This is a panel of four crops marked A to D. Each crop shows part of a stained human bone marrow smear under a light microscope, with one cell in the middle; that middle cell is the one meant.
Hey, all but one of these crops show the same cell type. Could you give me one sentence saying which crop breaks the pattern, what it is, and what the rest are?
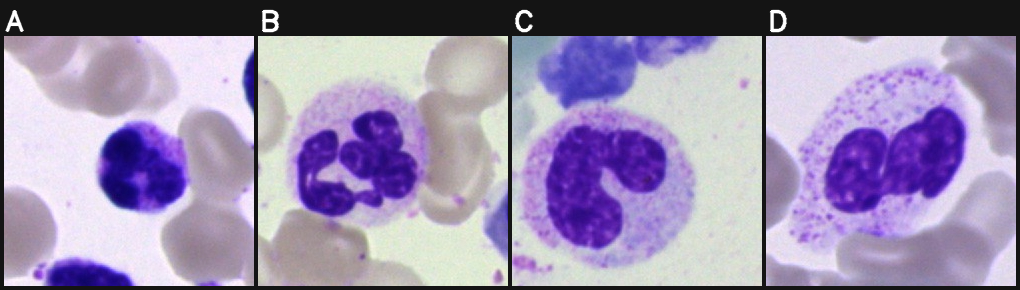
Crop C breaks the pattern with a band neutrophil; all the others show segmented neutrophils.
